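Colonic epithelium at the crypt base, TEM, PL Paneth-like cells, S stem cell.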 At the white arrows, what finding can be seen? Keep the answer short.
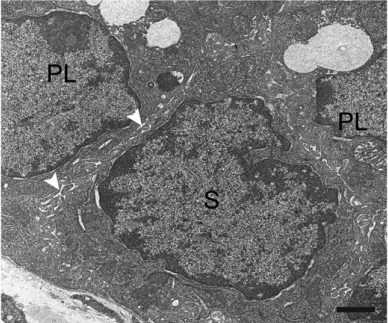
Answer: Regions of separation.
